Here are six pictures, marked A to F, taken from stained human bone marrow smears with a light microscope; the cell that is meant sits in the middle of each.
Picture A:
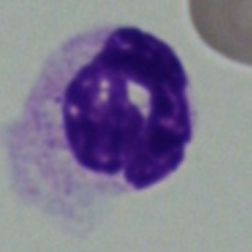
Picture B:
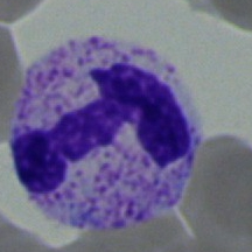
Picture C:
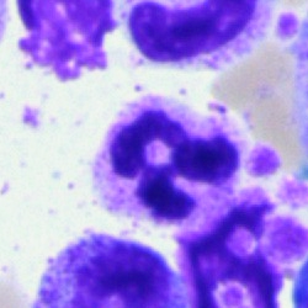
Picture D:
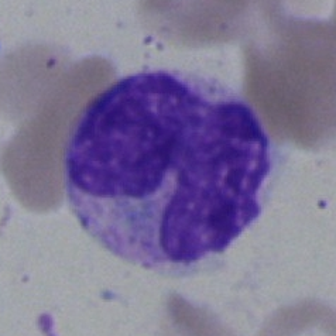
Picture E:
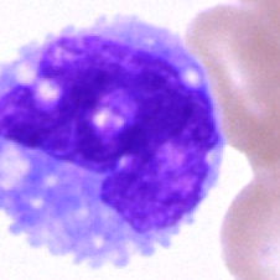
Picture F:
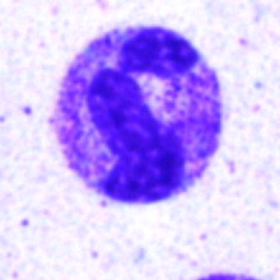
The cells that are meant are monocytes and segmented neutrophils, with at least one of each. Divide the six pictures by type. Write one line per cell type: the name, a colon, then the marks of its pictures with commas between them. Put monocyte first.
monocyte: D, E
segmented neutrophil: A, B, C, F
